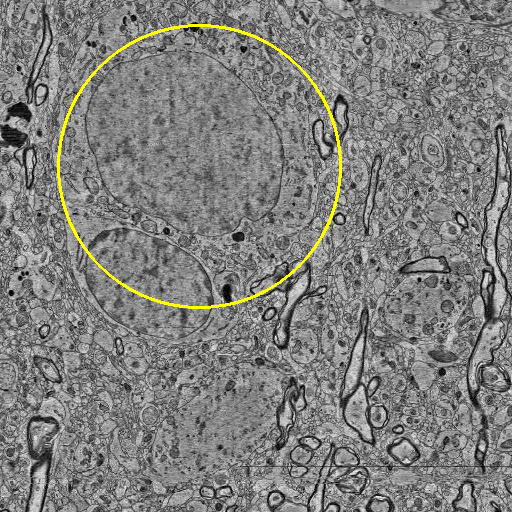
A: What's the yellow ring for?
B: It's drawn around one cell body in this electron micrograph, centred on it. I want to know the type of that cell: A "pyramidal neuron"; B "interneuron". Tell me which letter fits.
B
